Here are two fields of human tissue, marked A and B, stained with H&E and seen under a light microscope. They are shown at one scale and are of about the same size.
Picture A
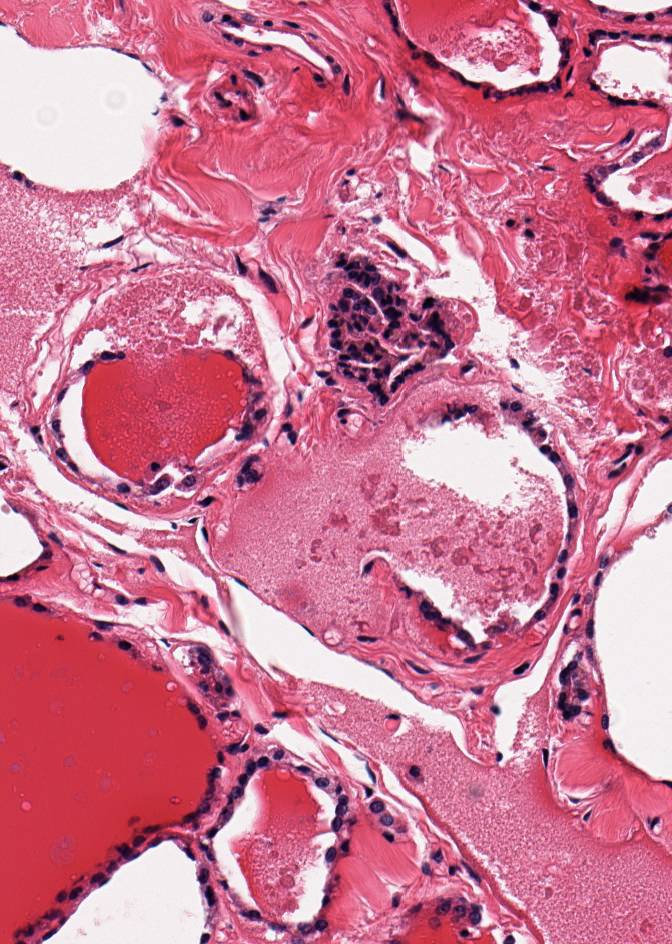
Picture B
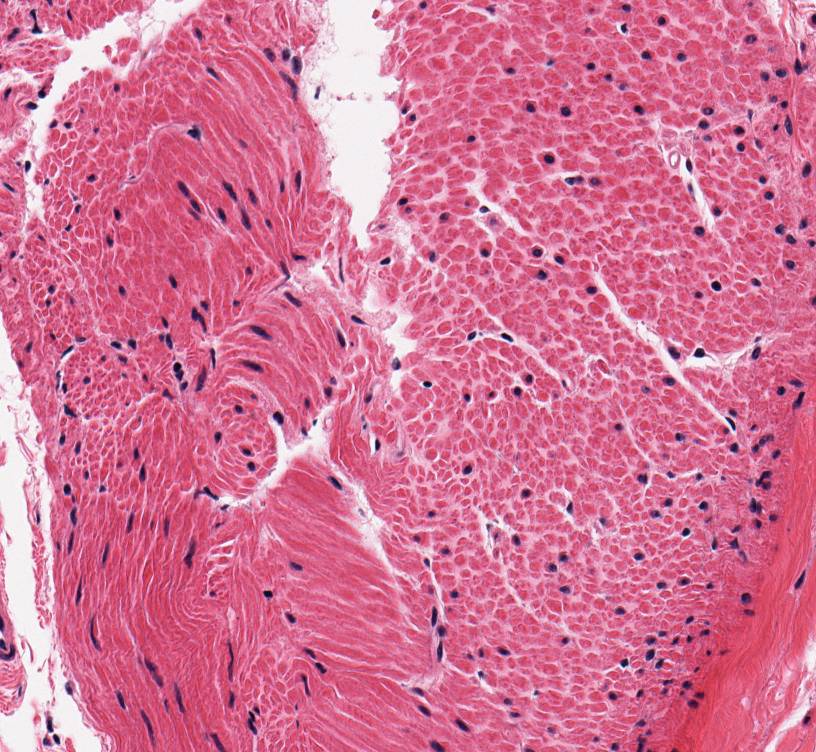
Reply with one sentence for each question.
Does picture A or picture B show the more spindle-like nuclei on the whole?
It is picture A whose nuclei are the more elongated.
